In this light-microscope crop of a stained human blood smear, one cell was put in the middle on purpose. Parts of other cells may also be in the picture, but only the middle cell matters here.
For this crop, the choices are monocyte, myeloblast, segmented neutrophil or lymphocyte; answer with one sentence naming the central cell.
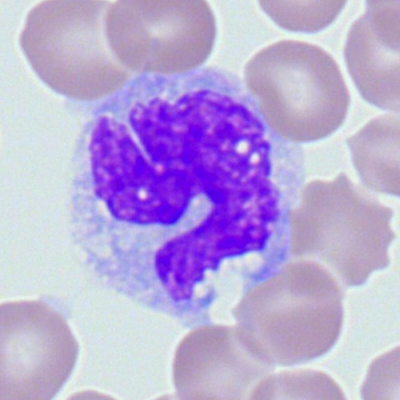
What sits at the centre of this crop is a monocyte.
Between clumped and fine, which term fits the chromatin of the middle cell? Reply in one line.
Chromatin in the nucleus here is coarsely clumped.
